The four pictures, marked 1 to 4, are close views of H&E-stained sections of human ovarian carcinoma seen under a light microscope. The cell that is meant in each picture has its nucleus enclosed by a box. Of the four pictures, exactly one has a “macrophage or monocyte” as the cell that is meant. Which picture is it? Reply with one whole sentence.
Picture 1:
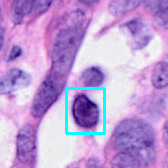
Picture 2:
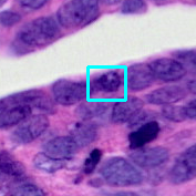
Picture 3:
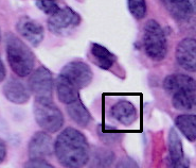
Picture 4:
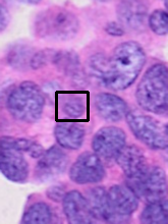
The picture with the “macrophage or monocyte” is 3.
